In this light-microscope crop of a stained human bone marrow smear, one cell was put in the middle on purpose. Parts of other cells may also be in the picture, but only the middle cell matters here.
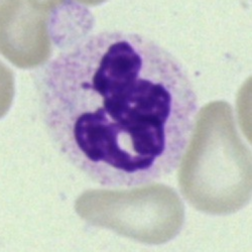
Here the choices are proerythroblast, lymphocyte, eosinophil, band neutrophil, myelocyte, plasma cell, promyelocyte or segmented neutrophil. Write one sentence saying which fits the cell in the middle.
The cell centred in this crop is categorized as a segmented neutrophil.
